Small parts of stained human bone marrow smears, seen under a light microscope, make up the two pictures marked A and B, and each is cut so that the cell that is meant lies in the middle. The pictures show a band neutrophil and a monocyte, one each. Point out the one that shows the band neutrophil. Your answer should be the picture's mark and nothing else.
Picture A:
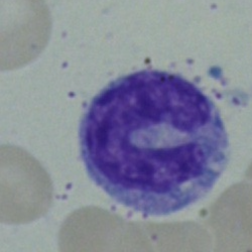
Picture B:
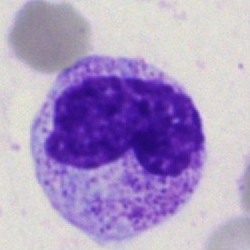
B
